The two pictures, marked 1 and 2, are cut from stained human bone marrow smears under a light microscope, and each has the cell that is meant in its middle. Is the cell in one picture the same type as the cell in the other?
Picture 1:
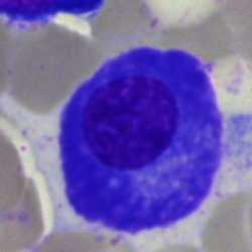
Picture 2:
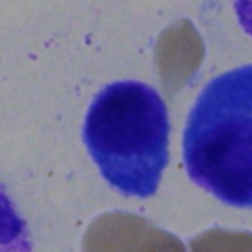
yes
